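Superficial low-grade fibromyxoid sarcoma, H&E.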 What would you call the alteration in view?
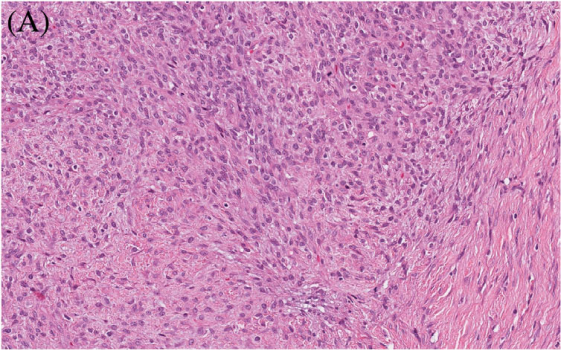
Increased cellularity.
